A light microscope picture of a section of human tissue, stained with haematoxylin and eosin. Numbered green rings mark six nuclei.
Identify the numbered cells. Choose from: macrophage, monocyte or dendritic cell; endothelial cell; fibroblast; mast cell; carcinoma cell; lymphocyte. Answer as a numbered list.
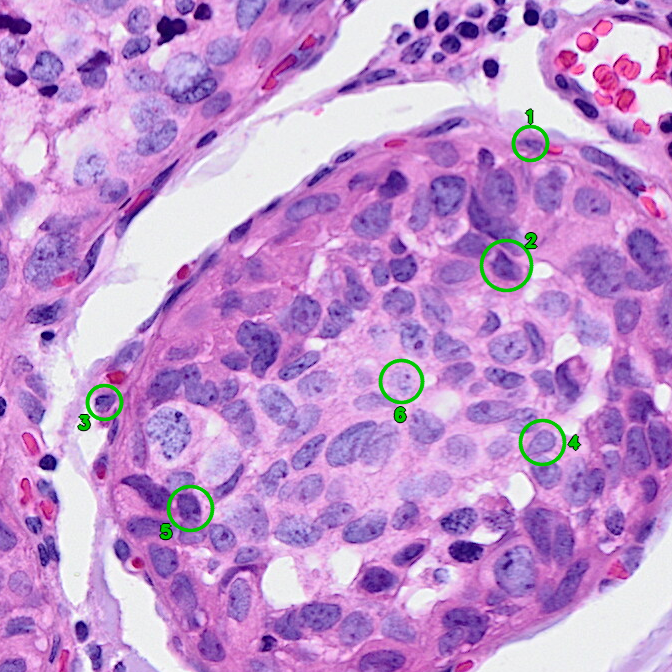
1. endothelial cell
2. carcinoma cell
3. endothelial cell
4. carcinoma cell
5. carcinoma cell
6. carcinoma cell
